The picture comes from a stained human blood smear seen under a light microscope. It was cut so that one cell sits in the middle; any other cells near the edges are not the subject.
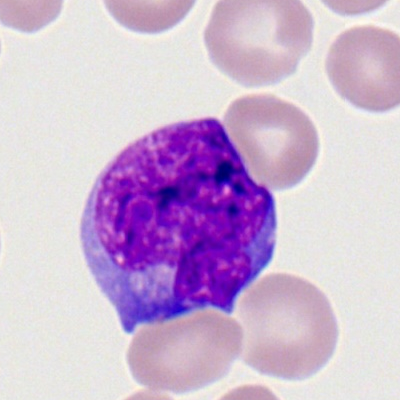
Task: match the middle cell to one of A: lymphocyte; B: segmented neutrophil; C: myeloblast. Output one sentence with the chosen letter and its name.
Option C is the correct option, with the middle cell being a myeloblast.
